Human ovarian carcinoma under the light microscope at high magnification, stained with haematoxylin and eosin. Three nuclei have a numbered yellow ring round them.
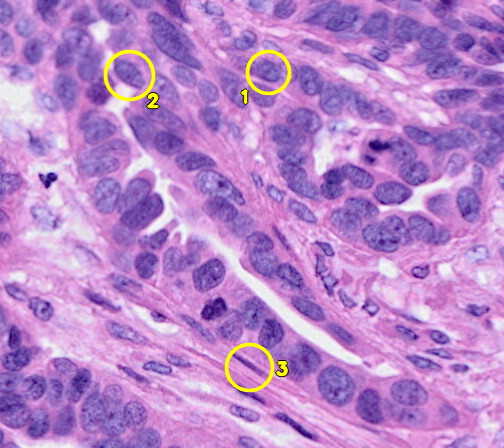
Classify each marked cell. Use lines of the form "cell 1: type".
cell 1: carcinoma cell
cell 2: carcinoma cell
cell 3: fibroblast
